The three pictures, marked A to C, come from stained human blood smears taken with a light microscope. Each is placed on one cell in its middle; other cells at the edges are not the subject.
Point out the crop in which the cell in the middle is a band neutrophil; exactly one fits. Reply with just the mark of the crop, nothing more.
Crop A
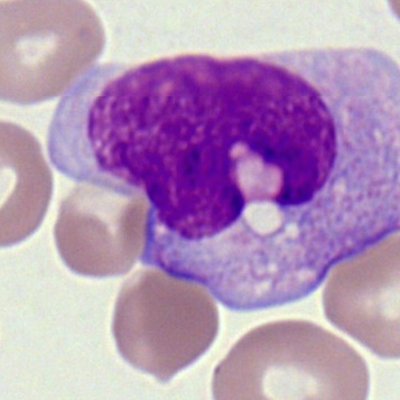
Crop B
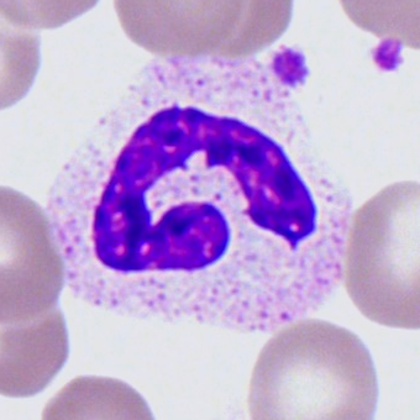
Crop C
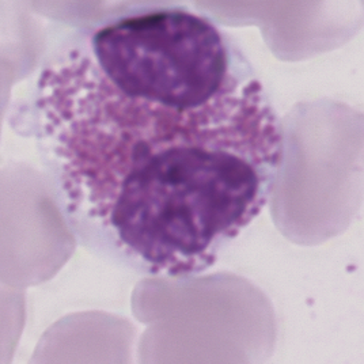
B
